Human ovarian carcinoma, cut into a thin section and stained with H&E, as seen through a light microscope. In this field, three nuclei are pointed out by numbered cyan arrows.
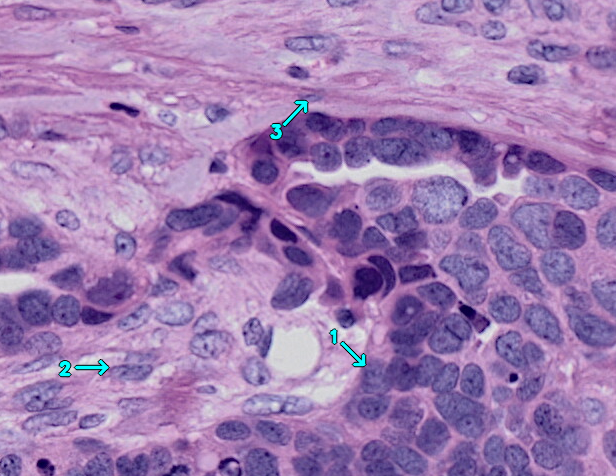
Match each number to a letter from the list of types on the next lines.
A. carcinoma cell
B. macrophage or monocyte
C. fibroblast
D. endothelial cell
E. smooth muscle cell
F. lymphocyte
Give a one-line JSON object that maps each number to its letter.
{"1": "A", "2": "C", "3": "C"}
